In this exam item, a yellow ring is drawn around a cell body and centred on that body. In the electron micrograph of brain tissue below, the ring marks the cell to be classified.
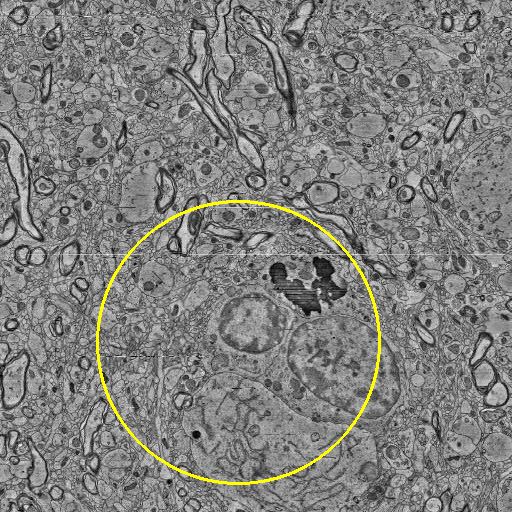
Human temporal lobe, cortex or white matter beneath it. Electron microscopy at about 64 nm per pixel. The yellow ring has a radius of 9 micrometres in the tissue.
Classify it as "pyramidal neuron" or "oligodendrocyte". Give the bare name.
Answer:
oligodendrocyte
